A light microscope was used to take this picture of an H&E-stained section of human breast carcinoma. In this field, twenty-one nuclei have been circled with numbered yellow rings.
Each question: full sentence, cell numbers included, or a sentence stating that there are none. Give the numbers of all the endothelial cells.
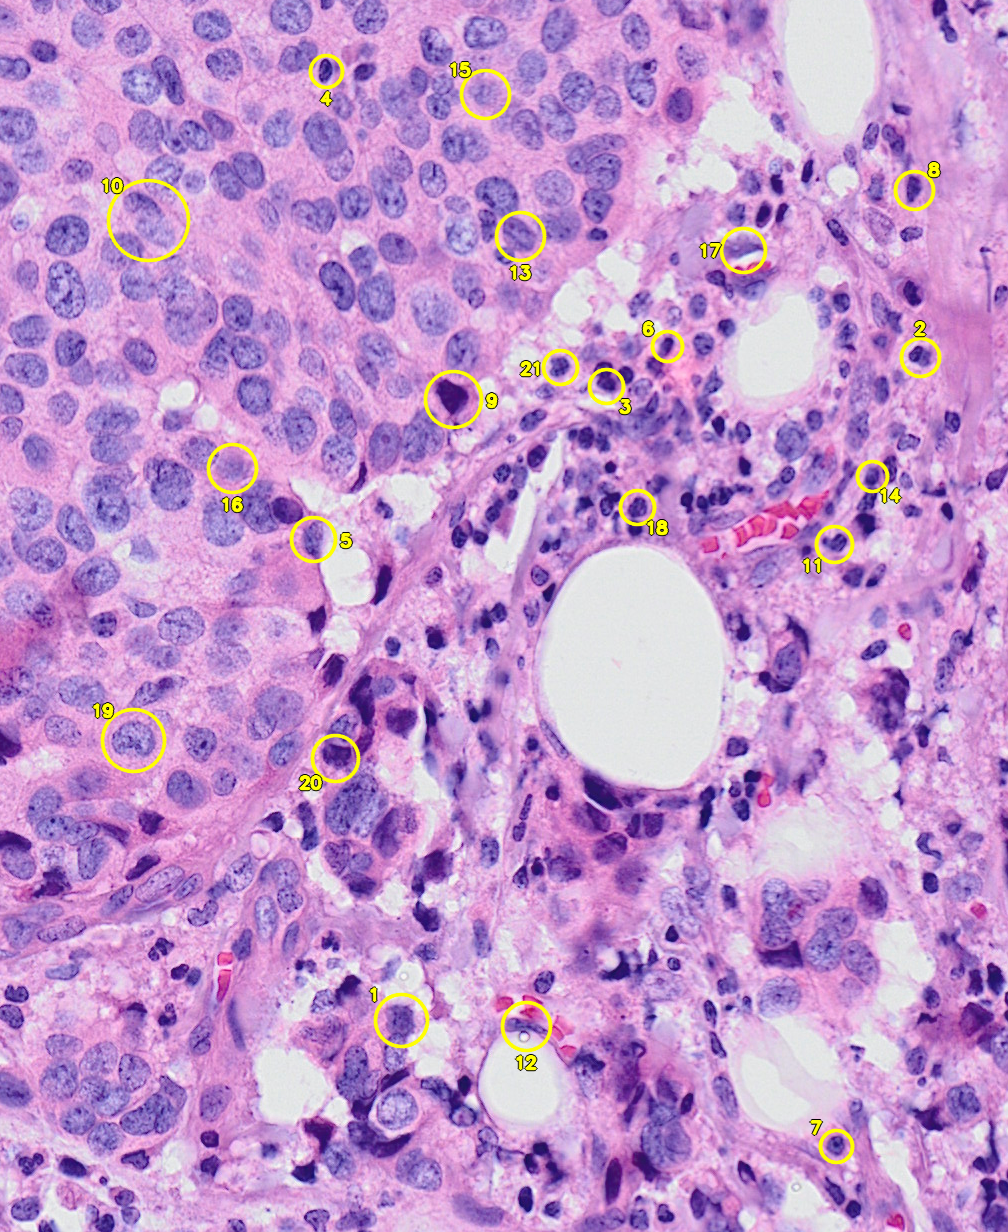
The cells to which the numbers 12 and 17 refer are endothelial cells.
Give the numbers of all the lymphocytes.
When it comes to cells 2, 3, 4, 6, 8, 11, 14, 18 and 21, they are lymphocytes.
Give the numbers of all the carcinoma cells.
Each of the cells numbered 1, 5, 9, 10, 13, 15, 16, 19 and 20 is among the carcinoma cells.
